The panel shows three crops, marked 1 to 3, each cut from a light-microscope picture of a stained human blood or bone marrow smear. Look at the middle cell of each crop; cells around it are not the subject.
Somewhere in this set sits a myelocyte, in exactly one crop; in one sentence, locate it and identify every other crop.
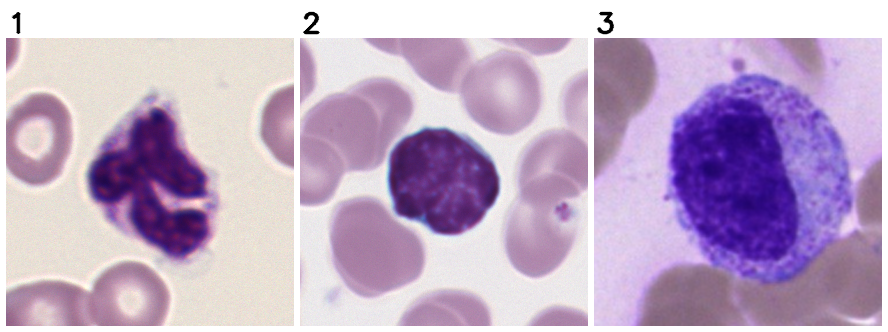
The crop labelled 3 shows a myelocyte, whereas crop 1 is a segmented neutrophil and crop 2 is a lymphocyte.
